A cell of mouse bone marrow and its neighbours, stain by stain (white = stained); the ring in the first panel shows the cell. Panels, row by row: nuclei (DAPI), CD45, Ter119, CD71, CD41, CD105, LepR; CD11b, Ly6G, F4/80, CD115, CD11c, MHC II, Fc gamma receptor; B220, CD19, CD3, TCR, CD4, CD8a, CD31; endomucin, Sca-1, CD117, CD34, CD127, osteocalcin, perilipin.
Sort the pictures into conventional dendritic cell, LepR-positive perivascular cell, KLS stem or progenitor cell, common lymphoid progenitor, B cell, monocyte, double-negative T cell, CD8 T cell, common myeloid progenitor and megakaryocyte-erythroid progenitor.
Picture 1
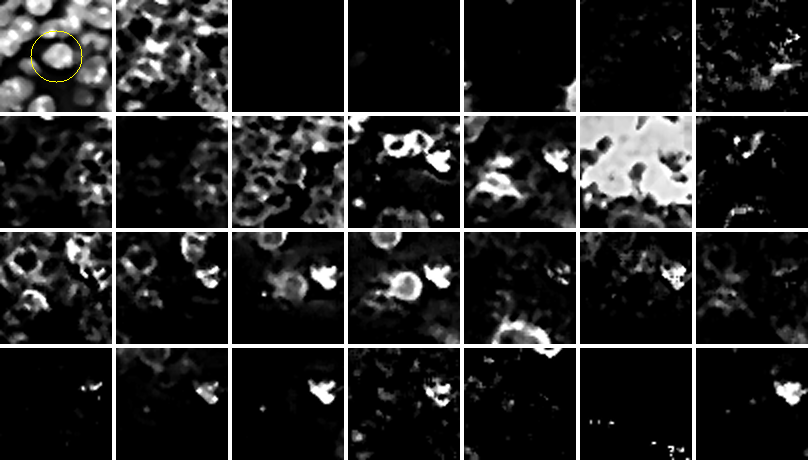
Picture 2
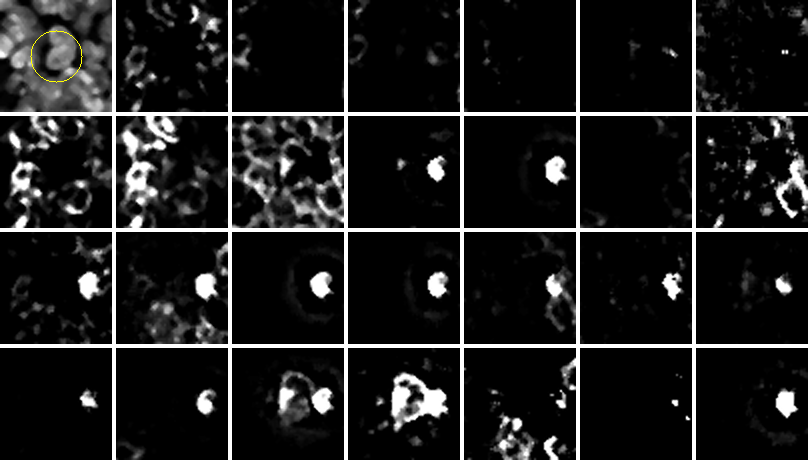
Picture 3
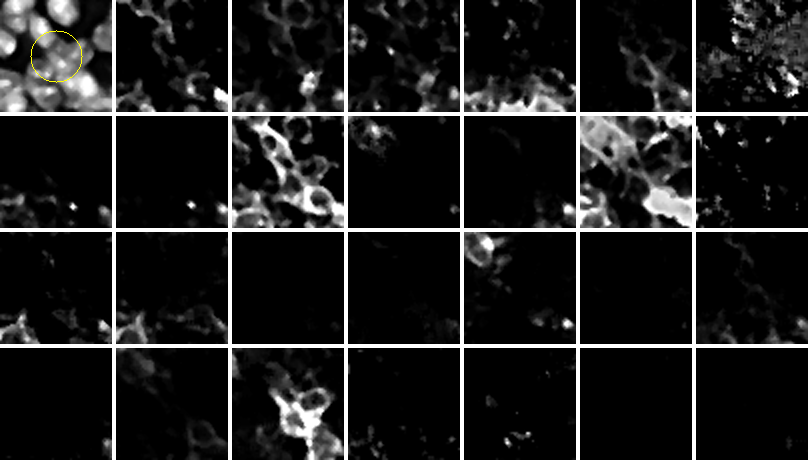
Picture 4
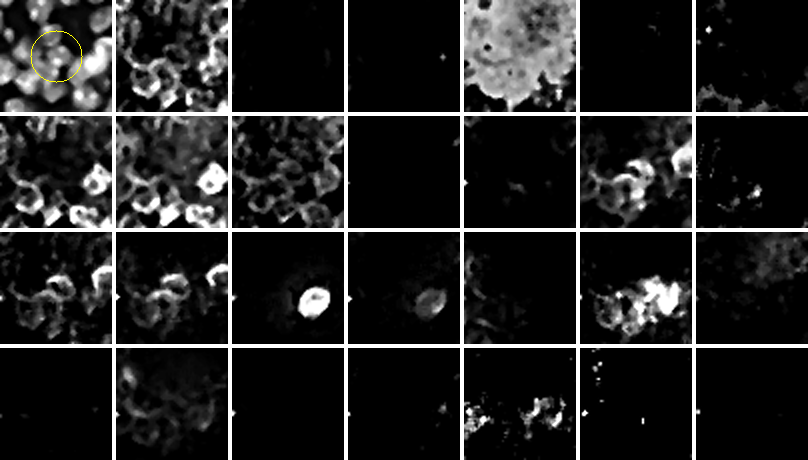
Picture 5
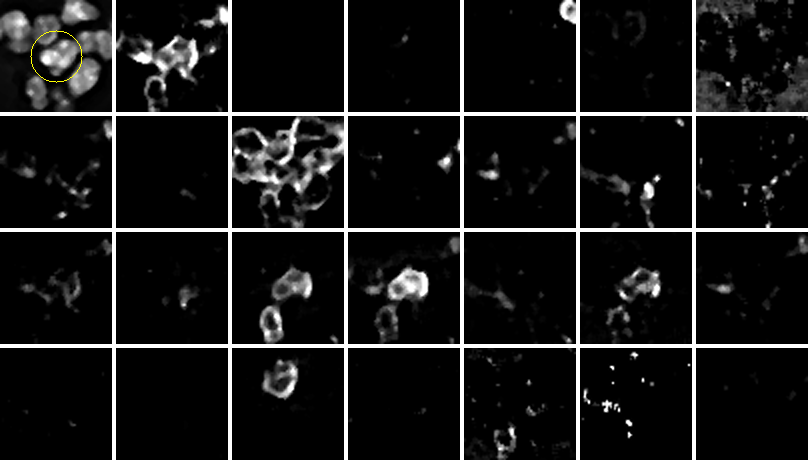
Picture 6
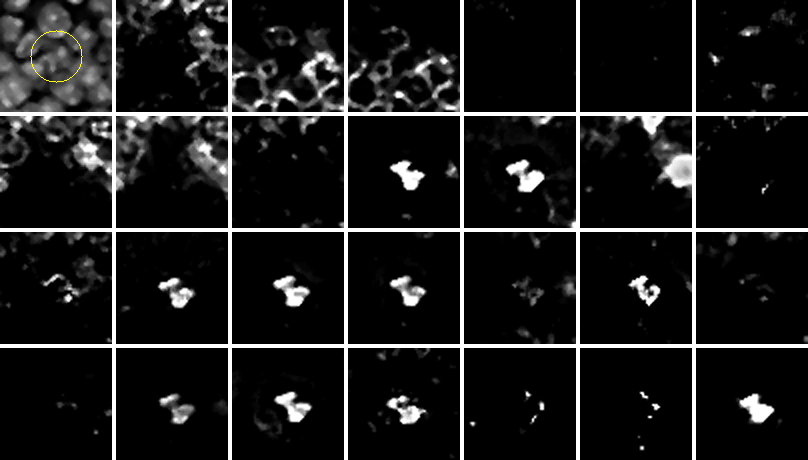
Double-negative T cells: 1, 6
Common myeloid progenitors: 2
Megakaryocyte-erythroid progenitors: 3
B cells: 4
CD8 T cells: 5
